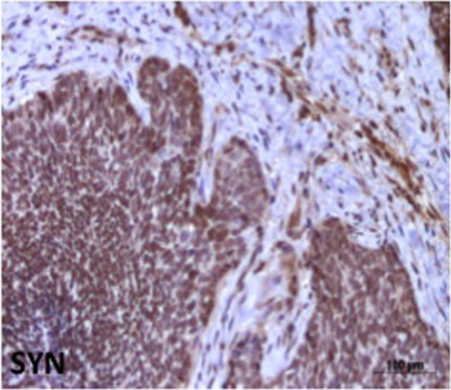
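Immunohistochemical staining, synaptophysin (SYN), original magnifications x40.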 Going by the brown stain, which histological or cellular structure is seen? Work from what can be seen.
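Large densely cellular nests are diffusely brown. The pale fibrous tissue between nests is mostly unstained with blue nuclei.
Tumour islands and cords.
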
